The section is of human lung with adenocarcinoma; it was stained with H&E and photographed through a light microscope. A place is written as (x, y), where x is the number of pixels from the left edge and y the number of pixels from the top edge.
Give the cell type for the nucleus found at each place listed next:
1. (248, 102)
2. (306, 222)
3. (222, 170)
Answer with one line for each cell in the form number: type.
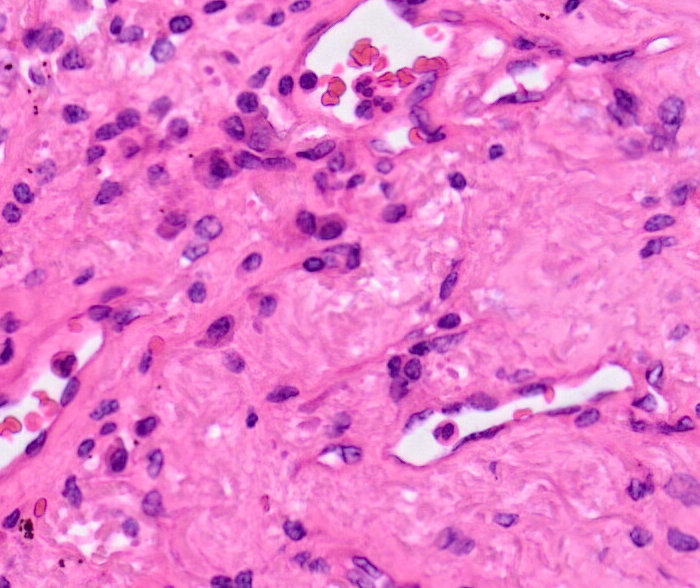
1: lymphocyte
2: plasma cell
3: plasma cell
